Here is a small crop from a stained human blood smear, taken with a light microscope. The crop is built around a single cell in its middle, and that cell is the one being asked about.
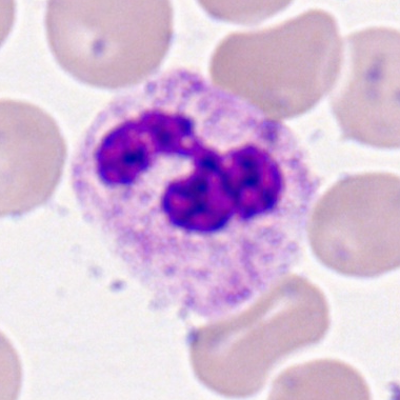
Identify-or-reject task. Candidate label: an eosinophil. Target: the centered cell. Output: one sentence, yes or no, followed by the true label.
No, looking at the central cell, it is a segmented neutrophil rather than an eosinophil.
